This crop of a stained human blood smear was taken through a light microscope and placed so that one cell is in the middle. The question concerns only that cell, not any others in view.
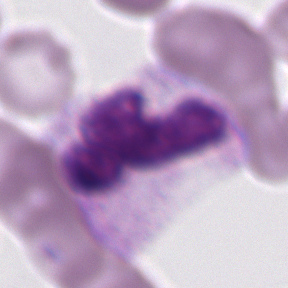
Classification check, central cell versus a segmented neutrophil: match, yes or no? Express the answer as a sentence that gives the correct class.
Yes, the cell occupying the middle of the crop is a segmented neutrophil.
